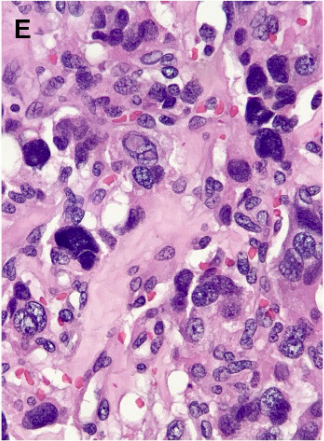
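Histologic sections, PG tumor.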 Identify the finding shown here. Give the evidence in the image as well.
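Nuclear enlargement and pleomorphism. Several nuclei are much larger and darker than their neighbours. Nuclei vary widely in size and shape.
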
